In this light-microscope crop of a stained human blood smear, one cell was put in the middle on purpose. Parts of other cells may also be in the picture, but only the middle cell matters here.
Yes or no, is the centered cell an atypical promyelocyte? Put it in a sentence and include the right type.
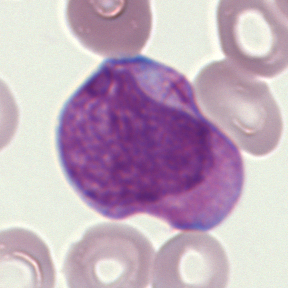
Yes, the middle of the crop is occupied by an atypical promyelocyte.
